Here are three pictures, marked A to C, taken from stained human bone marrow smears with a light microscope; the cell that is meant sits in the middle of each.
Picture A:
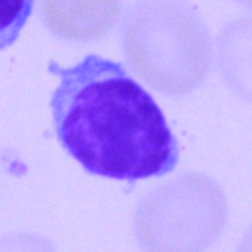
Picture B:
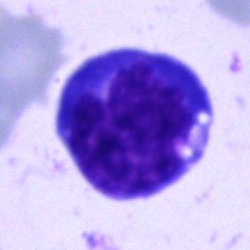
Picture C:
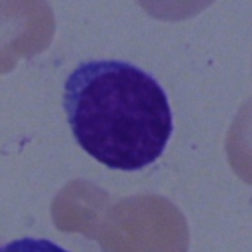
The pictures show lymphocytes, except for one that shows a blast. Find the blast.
B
